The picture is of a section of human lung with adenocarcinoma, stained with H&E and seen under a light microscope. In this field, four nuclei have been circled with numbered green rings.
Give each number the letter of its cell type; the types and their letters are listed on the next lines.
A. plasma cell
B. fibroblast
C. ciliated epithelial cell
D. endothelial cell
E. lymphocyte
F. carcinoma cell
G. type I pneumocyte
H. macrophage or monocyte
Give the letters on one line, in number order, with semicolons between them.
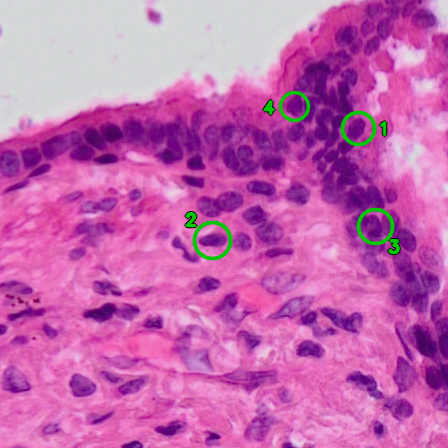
C; E; C; C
